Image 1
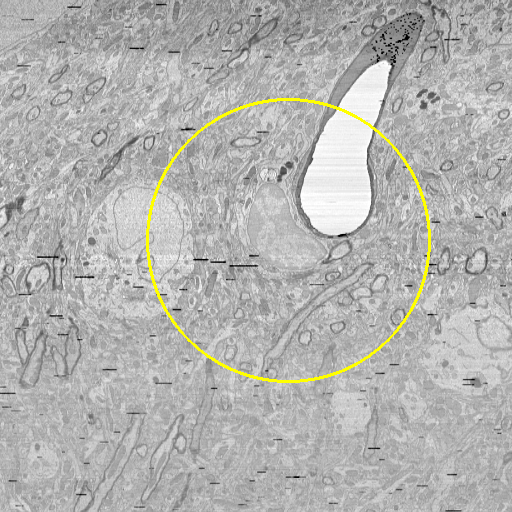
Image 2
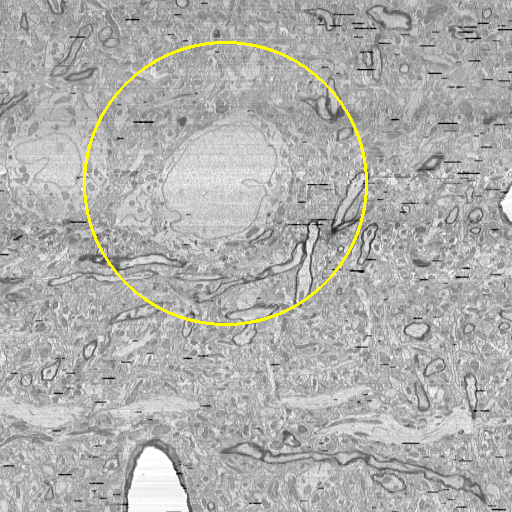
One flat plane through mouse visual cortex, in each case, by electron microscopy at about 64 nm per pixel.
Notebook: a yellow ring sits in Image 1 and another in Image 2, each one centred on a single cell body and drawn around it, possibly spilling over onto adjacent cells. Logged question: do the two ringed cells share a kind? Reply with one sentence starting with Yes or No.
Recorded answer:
No, the centre cells inside the rings of Image 1 and Image 2 are of two kinds.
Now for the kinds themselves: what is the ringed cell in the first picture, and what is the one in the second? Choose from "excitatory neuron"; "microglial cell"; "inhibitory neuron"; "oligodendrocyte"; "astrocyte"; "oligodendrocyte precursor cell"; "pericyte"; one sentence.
Here the first cell is a microglial cell and the second cell is an excitatory neuron.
